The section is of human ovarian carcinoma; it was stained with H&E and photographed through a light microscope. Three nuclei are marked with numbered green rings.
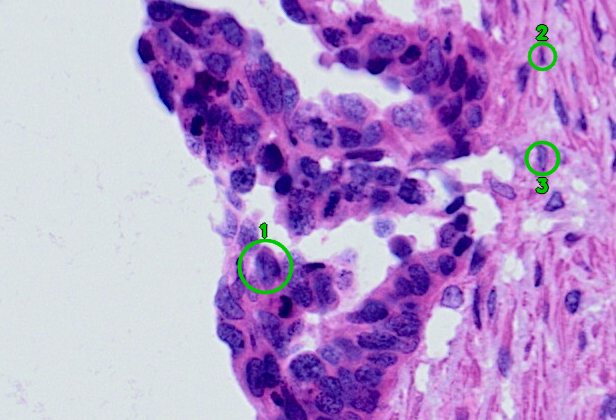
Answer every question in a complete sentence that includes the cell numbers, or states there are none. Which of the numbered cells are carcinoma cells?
Only one of the numbered nuclei, number 1, belongs to a carcinoma cell.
